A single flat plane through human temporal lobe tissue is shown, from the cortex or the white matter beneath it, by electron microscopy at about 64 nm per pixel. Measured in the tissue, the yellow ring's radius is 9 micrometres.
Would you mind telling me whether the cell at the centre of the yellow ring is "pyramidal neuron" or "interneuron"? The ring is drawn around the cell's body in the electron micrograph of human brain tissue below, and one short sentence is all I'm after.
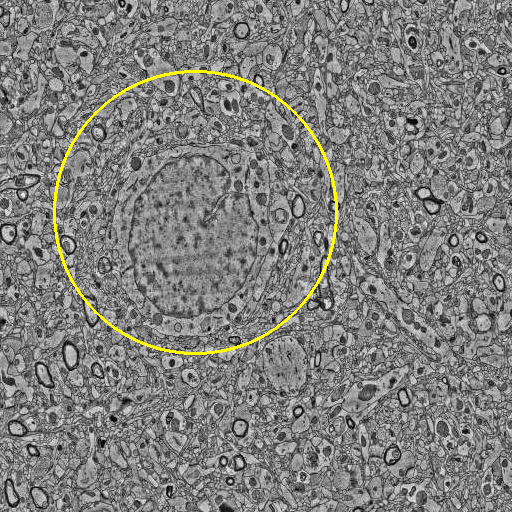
In the centre of the ring lies an interneuron.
